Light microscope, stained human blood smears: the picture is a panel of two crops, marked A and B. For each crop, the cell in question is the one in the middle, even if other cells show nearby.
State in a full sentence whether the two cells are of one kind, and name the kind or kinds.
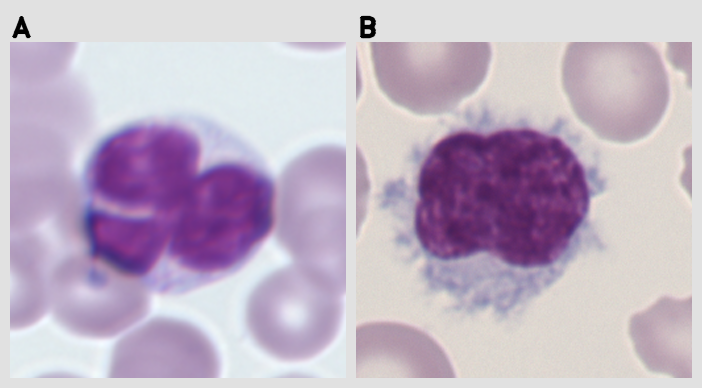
No, crop B centres on a hairy cell, and crop A centres on a large granular lymphocyte.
